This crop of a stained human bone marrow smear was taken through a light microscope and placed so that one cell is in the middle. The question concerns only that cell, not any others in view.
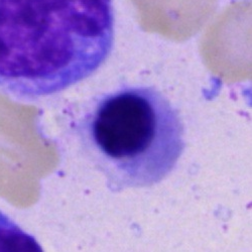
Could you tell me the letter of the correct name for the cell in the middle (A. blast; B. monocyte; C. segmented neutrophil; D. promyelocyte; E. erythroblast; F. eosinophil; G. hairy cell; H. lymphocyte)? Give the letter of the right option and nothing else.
E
